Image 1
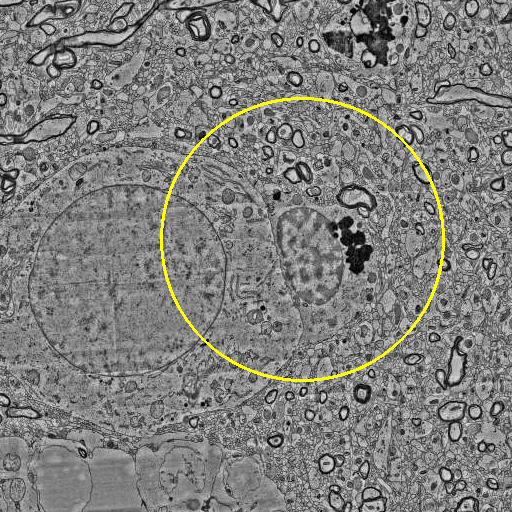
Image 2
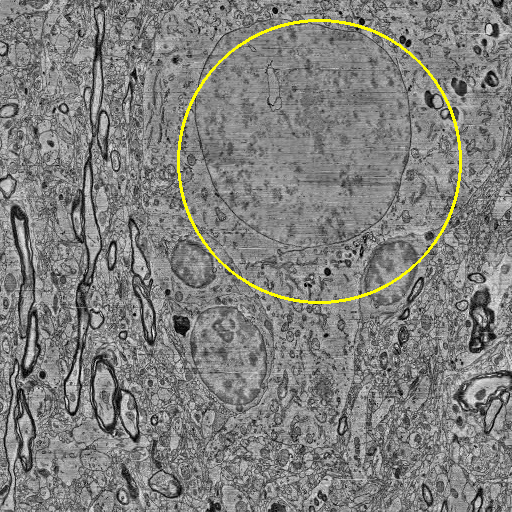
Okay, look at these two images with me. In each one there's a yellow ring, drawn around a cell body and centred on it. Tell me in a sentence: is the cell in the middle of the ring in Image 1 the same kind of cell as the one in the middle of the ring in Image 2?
No, they're two kinds of cell.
